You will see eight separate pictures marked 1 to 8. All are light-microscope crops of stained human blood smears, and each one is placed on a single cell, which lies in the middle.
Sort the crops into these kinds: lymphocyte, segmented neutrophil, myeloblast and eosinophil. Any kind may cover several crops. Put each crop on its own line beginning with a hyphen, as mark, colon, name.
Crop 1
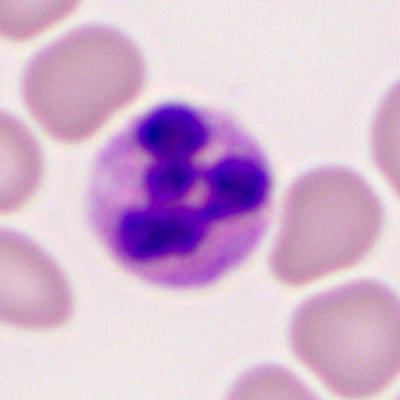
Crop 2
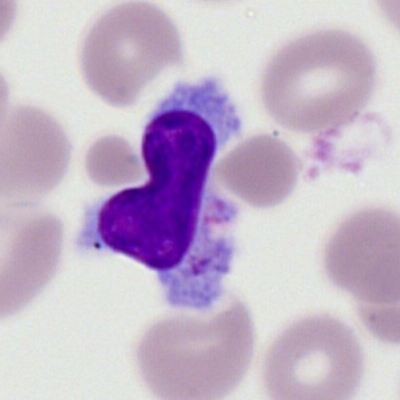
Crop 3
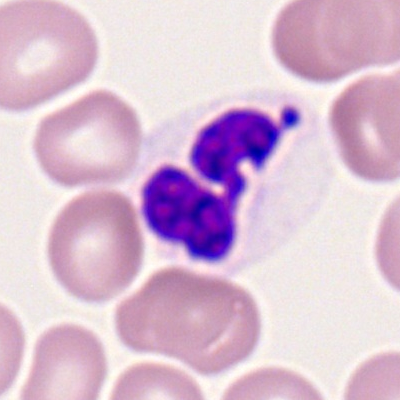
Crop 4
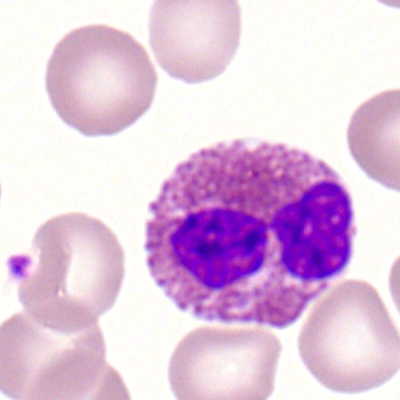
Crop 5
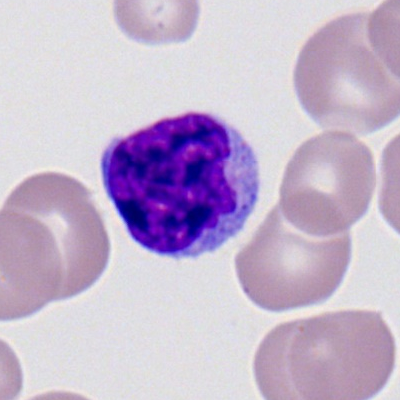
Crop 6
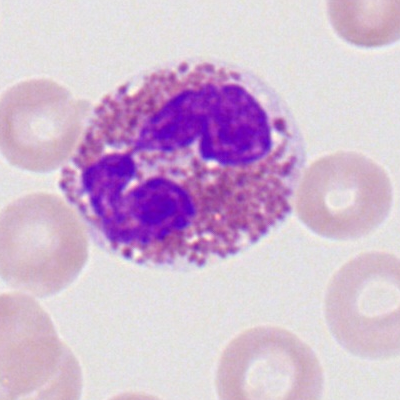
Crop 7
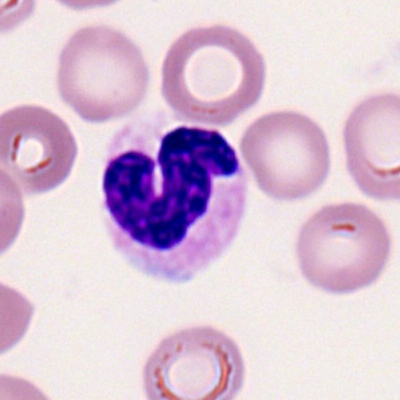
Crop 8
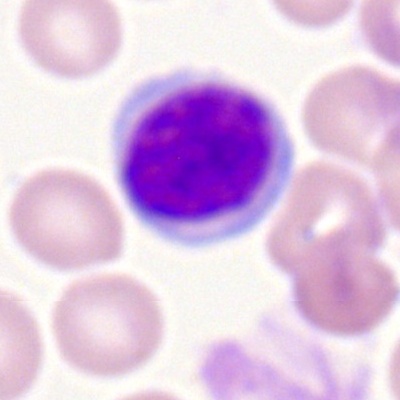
- 1: segmented neutrophil
- 2: lymphocyte
- 3: segmented neutrophil
- 4: eosinophil
- 5: lymphocyte
- 6: eosinophil
- 7: segmented neutrophil
- 8: lymphocyte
